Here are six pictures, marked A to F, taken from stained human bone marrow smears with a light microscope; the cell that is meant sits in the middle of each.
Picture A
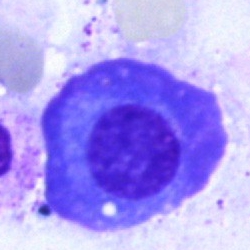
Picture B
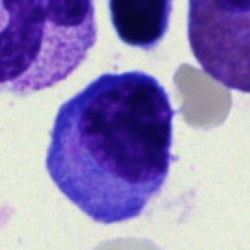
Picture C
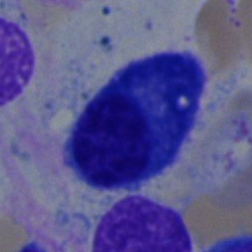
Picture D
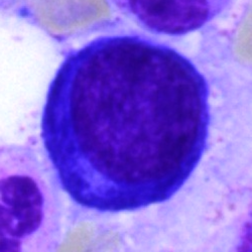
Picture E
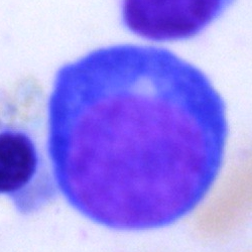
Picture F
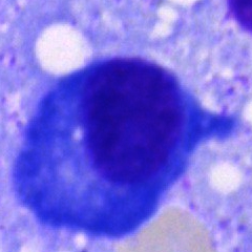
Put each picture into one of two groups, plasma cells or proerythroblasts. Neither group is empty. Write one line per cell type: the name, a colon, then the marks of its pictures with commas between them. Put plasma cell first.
plasma cell: A, B, C, F
proerythroblast: D, E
